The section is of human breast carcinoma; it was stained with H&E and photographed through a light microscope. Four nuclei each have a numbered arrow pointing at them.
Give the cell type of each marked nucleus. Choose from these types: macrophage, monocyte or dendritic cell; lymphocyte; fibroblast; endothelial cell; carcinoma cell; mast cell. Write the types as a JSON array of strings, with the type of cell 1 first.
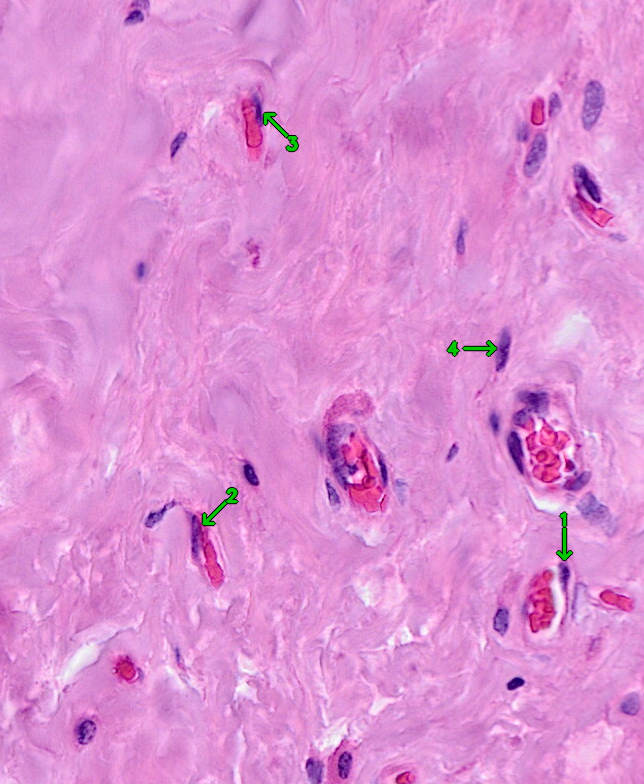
["endothelial cell", "endothelial cell", "endothelial cell", "fibroblast"]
